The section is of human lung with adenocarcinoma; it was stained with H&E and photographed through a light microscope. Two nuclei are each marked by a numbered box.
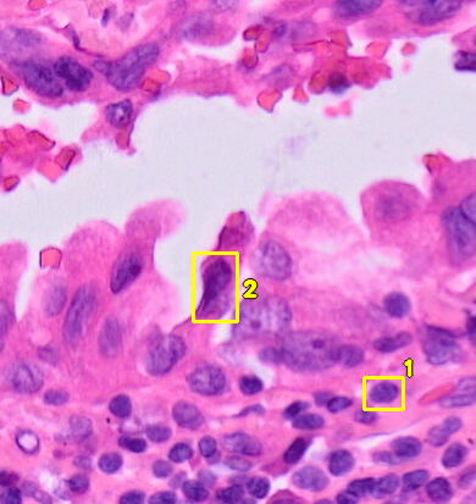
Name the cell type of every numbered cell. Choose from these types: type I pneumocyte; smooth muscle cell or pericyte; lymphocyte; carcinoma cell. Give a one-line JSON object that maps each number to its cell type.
{"1": "lymphocyte", "2": "carcinoma cell"}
